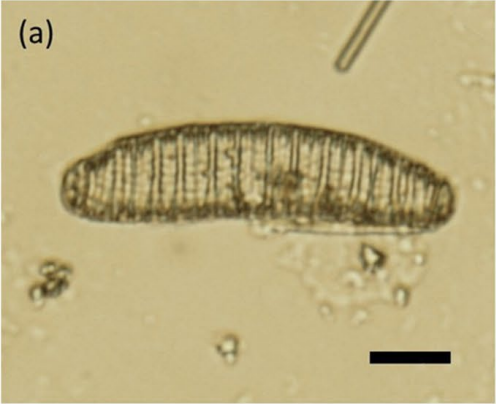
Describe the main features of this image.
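A single pennate diatom lies on a clear background beside small granular debris particles. The cell is elongate with rounded ends and a slightly asymmetric, gently arched outline, one long side more convex than the other. The transparent brownish wall is crossed along its whole length by closely set, regular transverse ribs or striae that run from margin to margin. A thin darker line borders the cell. Inside, some faint irregular granular material is visible near the middle. A thin straight rod-like fragment lies separately near the upper edge of the field.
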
